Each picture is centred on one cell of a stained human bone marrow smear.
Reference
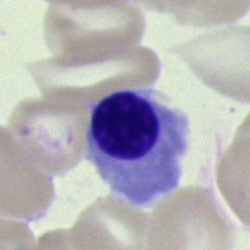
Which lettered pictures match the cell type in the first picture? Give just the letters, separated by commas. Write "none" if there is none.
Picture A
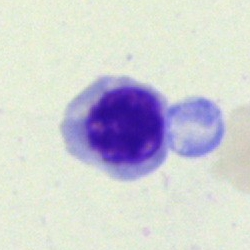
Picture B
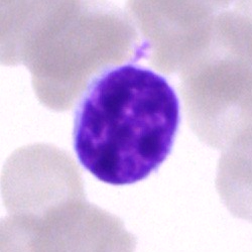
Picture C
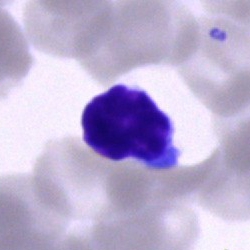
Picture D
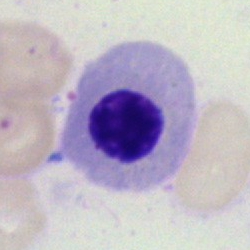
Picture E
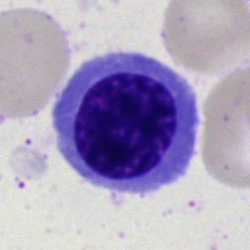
A, D, E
